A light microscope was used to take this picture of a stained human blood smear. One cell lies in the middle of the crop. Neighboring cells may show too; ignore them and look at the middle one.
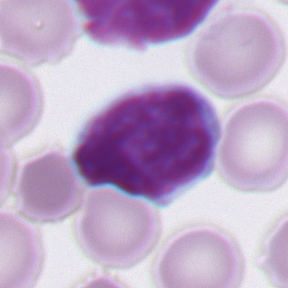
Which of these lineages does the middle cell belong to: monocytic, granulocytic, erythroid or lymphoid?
lymphoid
